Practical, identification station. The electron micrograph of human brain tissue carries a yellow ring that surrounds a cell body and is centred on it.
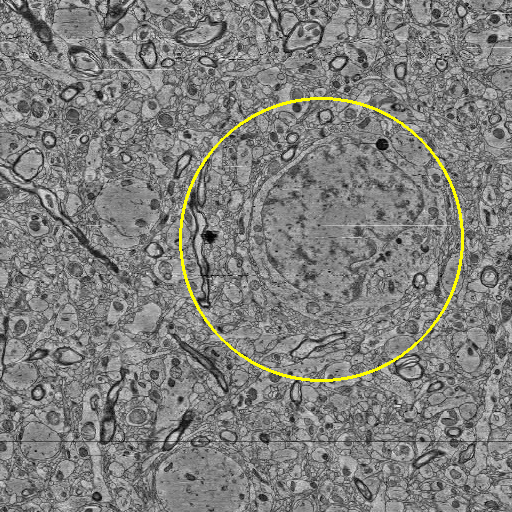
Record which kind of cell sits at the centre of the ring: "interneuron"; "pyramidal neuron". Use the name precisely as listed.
interneuron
